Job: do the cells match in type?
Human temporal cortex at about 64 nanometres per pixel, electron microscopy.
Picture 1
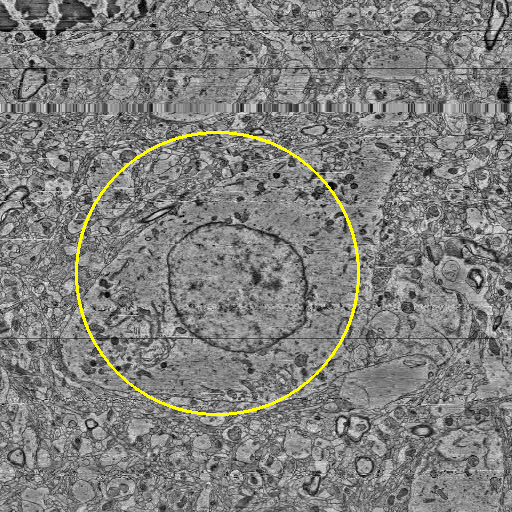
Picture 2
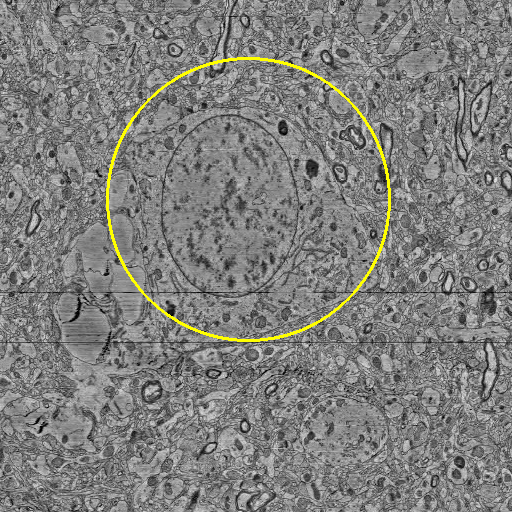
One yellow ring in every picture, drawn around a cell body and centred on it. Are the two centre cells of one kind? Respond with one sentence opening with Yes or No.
Yes, the ringed cells in the two pictures are of one and the same kind.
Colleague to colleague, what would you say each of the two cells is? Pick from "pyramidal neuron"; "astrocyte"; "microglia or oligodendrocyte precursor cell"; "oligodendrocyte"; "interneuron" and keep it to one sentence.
The cell in the first picture is a pyramidal neuron, and so is the one in the second.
